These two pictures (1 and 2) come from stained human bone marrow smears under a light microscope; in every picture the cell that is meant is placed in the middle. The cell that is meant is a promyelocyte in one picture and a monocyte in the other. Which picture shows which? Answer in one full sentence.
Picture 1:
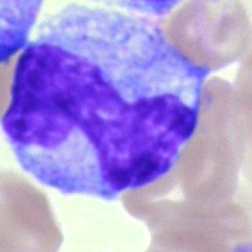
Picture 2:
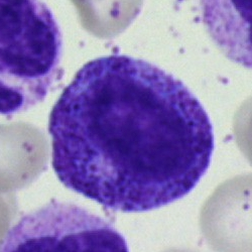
In picture 1 the cell is a monocyte; in picture 2, a promyelocyte.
